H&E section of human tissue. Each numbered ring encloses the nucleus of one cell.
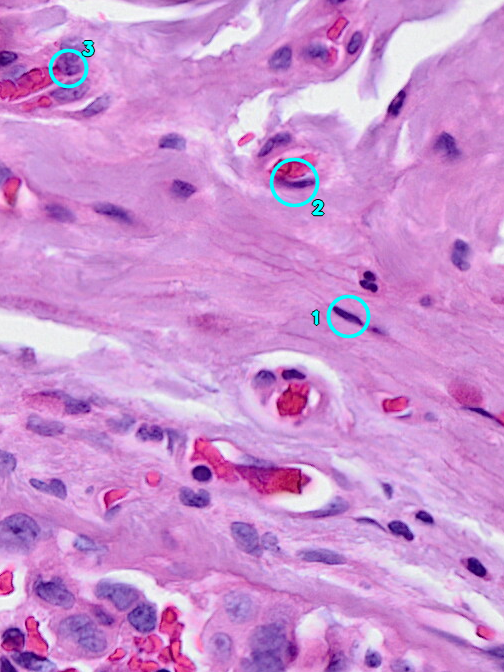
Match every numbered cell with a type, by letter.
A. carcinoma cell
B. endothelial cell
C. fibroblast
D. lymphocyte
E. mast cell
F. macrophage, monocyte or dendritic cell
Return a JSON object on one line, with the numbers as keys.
{"1": "C", "2": "B", "3": "B"}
